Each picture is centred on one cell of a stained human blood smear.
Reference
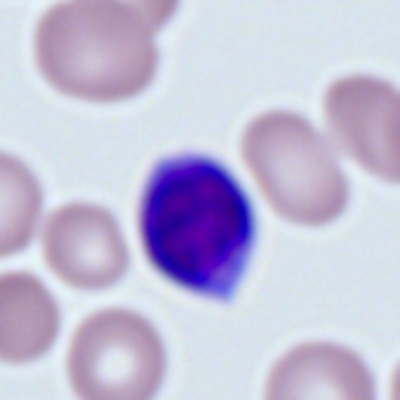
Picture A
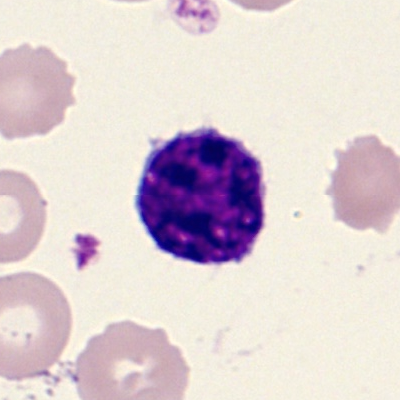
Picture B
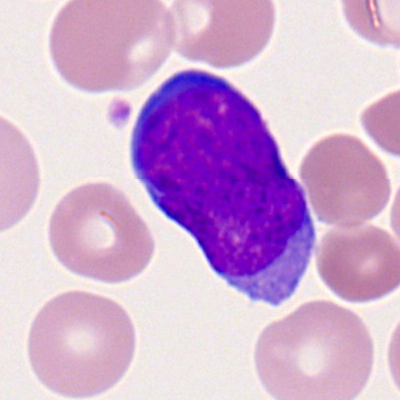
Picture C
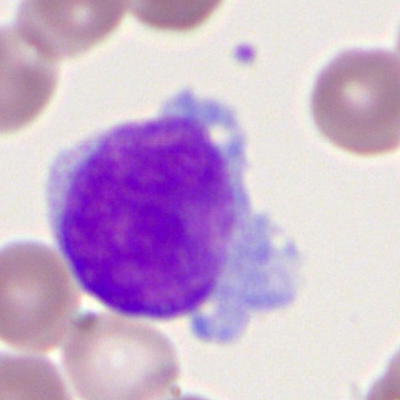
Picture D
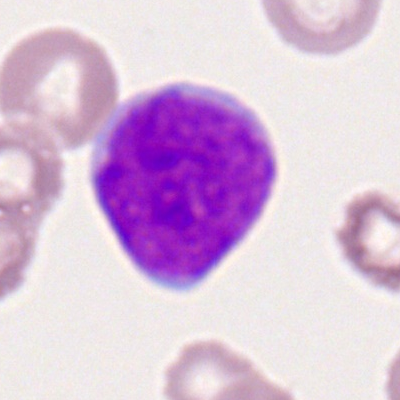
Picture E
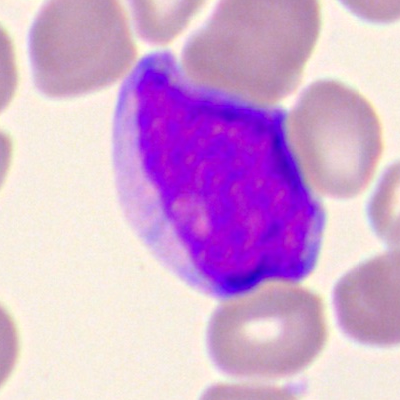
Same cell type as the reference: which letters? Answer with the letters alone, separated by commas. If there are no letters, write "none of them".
A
